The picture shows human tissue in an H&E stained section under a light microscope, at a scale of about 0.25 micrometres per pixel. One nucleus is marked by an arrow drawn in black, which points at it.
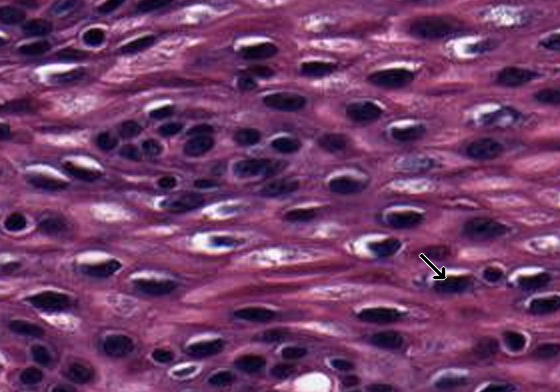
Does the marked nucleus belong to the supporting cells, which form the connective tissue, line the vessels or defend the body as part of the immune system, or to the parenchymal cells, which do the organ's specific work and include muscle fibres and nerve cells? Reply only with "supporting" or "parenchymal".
parenchymal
